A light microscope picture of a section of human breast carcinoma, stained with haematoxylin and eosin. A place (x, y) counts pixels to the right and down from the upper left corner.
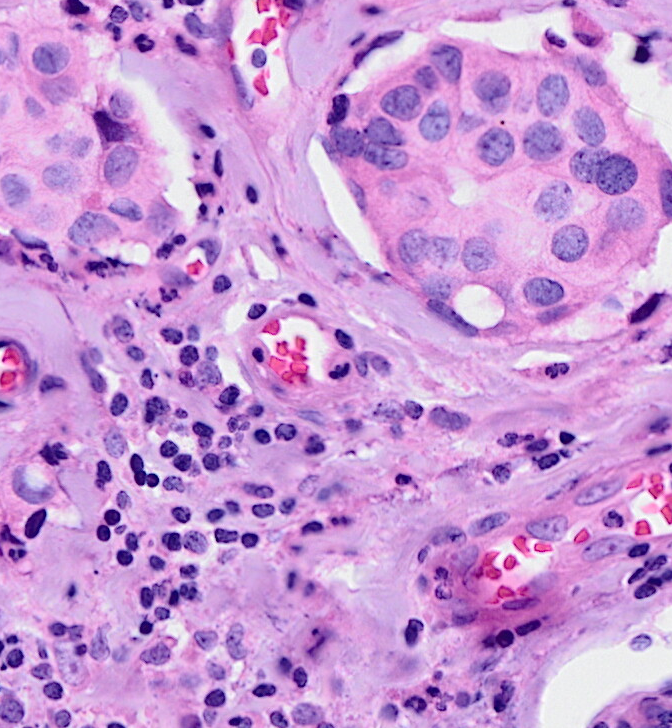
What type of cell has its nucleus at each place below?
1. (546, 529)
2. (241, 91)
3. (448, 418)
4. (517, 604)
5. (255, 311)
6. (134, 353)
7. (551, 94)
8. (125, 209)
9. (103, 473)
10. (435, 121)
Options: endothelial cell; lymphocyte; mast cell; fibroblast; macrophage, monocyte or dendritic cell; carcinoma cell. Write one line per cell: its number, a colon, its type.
1: endothelial cell
2: endothelial cell
3: macrophage, monocyte or dendritic cell
4: endothelial cell
5: lymphocyte
6: mast cell
7: carcinoma cell
8: carcinoma cell
9: lymphocyte
10: carcinoma cell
